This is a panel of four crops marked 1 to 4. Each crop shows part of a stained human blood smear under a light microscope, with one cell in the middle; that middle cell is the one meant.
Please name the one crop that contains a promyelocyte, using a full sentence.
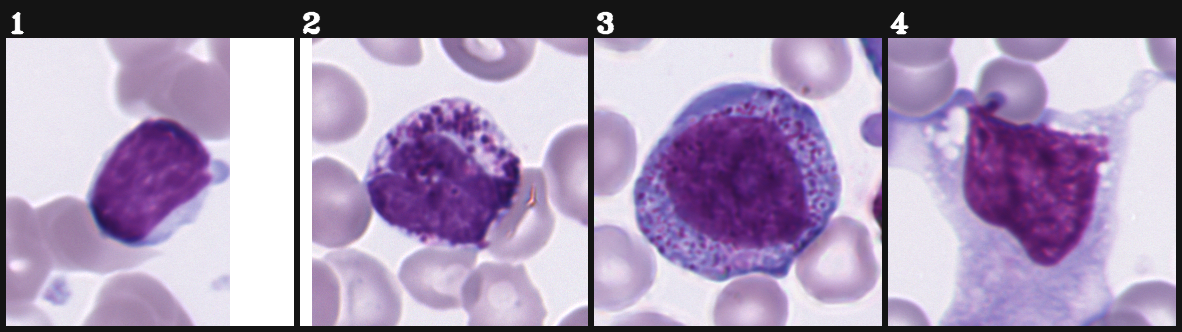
Of all the crops, crop 3 is the one showing a promyelocyte.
